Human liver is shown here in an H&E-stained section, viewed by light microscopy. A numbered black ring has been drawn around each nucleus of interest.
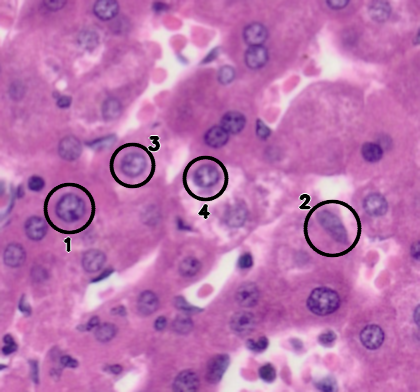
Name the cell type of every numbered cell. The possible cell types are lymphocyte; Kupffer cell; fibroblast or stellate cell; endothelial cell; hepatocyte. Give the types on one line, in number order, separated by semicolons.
hepatocyte; Kupffer cell; hepatocyte; hepatocyte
